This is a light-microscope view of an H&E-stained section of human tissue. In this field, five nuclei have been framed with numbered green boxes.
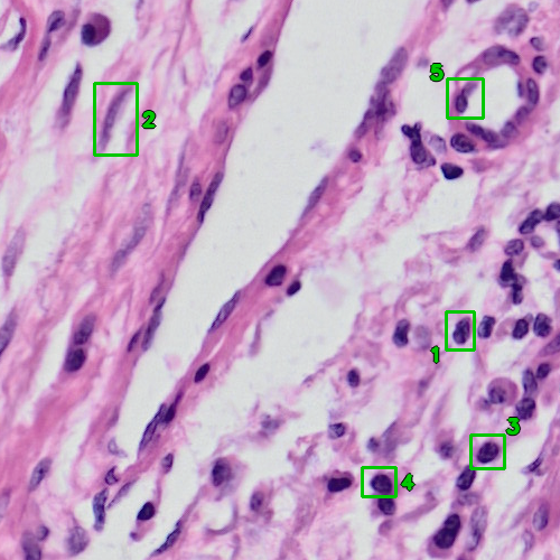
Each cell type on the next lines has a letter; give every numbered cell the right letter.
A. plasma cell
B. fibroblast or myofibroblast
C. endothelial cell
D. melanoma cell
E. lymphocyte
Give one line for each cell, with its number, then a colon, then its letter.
1: E
2: B
3: A
4: A
5: C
